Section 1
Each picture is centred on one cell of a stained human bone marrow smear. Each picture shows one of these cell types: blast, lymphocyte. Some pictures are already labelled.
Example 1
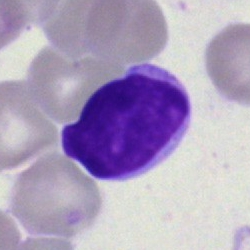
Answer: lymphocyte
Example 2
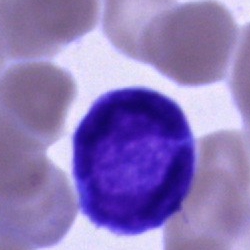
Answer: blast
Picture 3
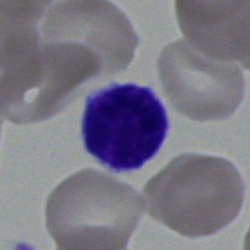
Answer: lymphocyte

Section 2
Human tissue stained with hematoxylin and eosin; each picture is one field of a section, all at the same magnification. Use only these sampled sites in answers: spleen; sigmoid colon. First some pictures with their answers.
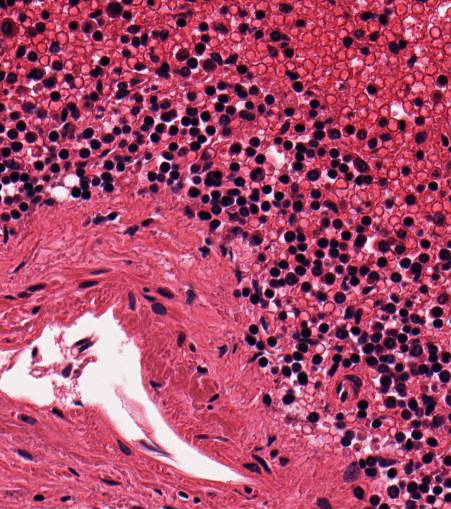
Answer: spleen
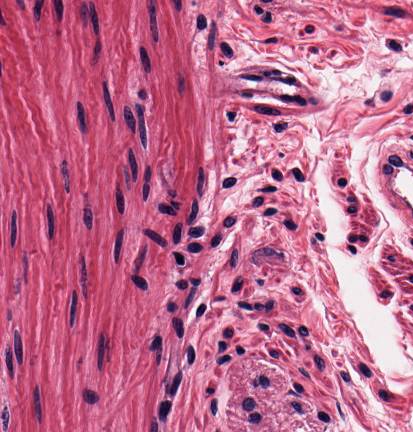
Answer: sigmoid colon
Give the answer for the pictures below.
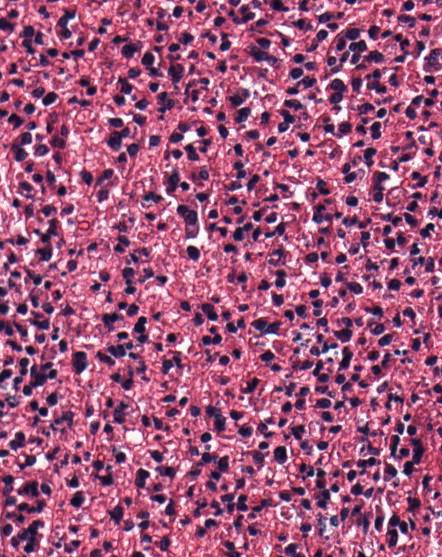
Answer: spleen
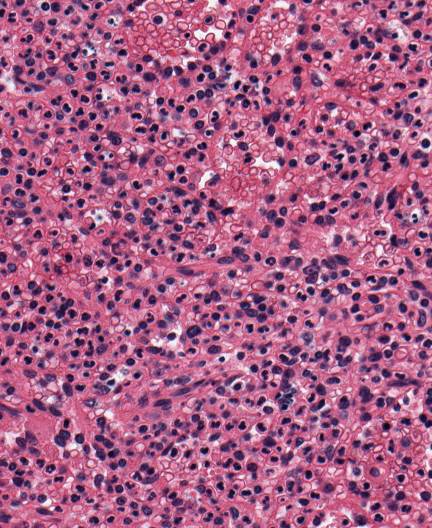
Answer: spleen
